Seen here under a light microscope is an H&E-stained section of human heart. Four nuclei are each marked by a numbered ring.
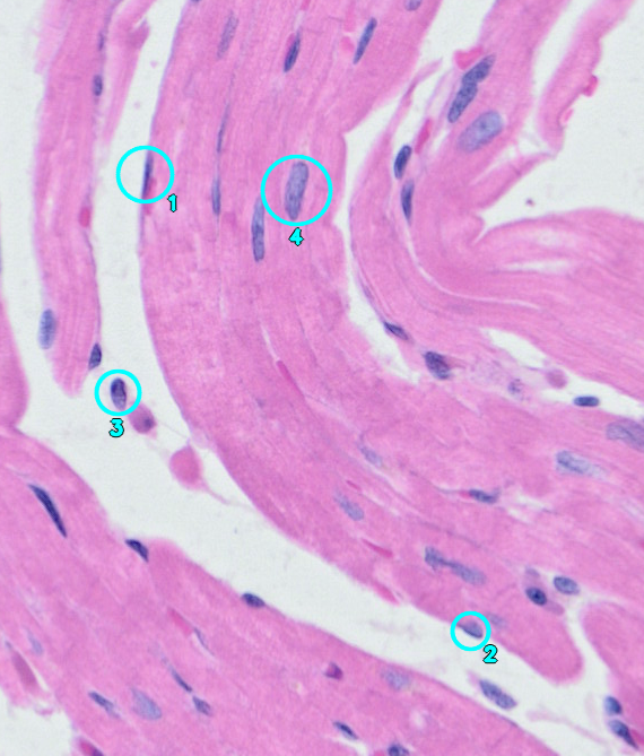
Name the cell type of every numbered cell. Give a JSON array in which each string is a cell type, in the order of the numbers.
["endothelial cell", "fibroblast", "fibroblast", "cardiomyocyte"]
